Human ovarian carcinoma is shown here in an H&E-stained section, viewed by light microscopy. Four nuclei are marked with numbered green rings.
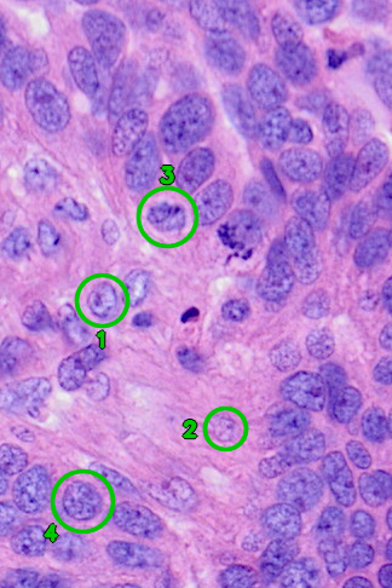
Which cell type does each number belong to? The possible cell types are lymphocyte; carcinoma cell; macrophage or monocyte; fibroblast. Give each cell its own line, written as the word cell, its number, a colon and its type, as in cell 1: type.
cell 1: fibroblast
cell 2: fibroblast
cell 3: macrophage or monocyte
cell 4: carcinoma cell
